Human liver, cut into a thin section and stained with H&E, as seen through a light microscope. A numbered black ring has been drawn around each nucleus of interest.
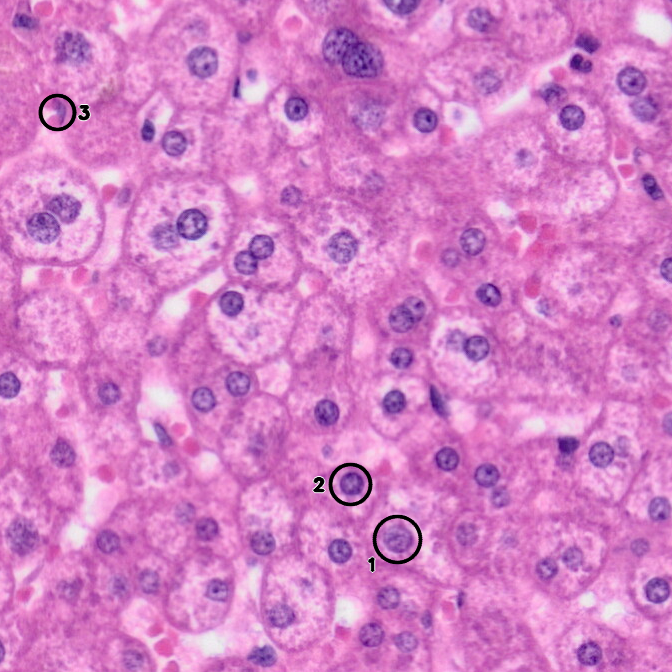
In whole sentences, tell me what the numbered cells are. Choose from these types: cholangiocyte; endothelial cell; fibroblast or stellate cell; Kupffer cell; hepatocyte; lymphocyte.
Cells 1 and 2 are hepatocytes. Cell 3 is an endothelial cell.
